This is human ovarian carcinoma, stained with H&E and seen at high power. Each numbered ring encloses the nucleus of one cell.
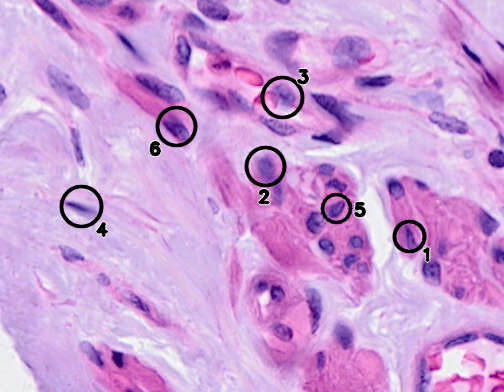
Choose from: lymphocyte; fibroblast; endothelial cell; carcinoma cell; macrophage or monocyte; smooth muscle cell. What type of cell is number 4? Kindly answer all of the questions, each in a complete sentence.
The cell pointed out by number 4 is a fibroblast.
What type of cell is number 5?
Belonging to a smooth muscle cell is the nucleus that carries the number 5.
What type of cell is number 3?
Cell 3 in the field of view is an endothelial cell.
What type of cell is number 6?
The marked cell bearing number 6 is a smooth muscle cell.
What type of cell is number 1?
The marked cell with the number 1 is recognised as a smooth muscle cell.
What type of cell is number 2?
The cell identified by number 2 is a smooth muscle cell.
